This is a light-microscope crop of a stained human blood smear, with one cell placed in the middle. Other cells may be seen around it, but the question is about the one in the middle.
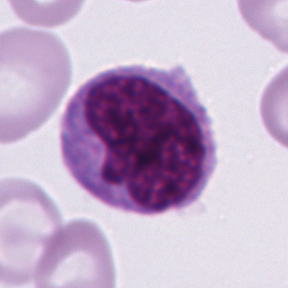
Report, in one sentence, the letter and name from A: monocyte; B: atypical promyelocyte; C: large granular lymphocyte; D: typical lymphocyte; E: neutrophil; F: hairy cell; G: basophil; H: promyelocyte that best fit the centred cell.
Option A, which names the central cell as a monocyte, is correct.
